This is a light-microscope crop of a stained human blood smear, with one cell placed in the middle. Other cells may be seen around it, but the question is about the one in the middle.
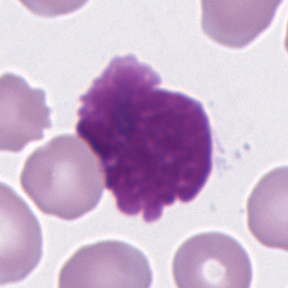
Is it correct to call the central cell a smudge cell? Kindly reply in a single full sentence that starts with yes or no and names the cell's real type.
Yes, that is right: the middle cell is a smudge cell.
